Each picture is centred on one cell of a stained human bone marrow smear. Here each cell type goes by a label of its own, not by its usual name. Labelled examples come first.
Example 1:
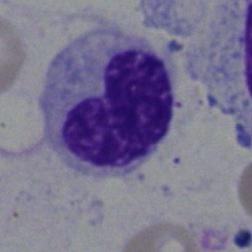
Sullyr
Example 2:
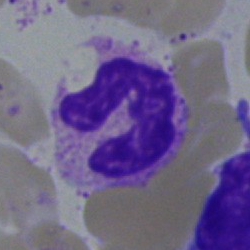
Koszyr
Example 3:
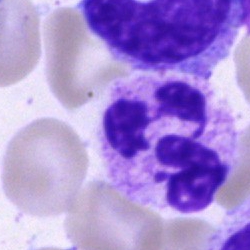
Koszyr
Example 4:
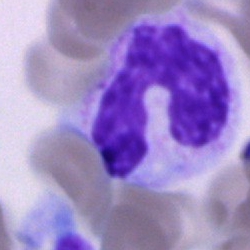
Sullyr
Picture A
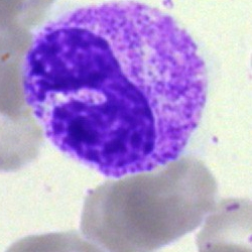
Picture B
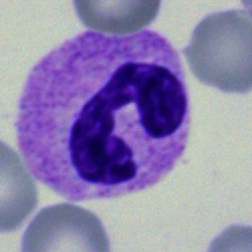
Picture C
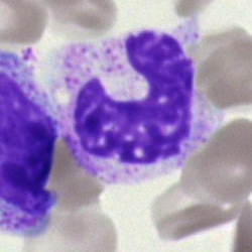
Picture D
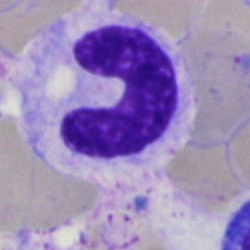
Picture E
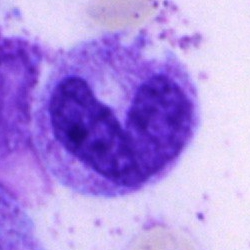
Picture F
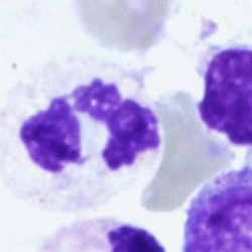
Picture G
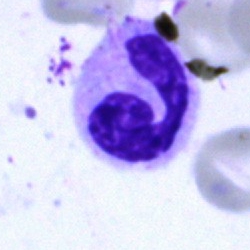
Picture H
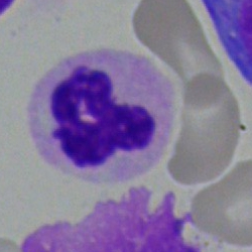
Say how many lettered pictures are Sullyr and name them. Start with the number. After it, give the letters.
4, namely A, C, D, E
